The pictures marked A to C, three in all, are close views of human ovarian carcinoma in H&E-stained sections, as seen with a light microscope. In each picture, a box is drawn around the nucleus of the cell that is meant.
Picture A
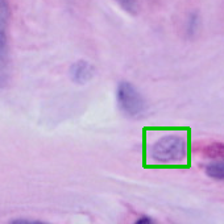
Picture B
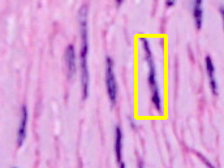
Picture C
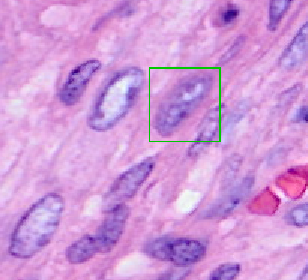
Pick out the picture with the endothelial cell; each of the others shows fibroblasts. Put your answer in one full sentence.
Picture A shows the endothelial cell.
